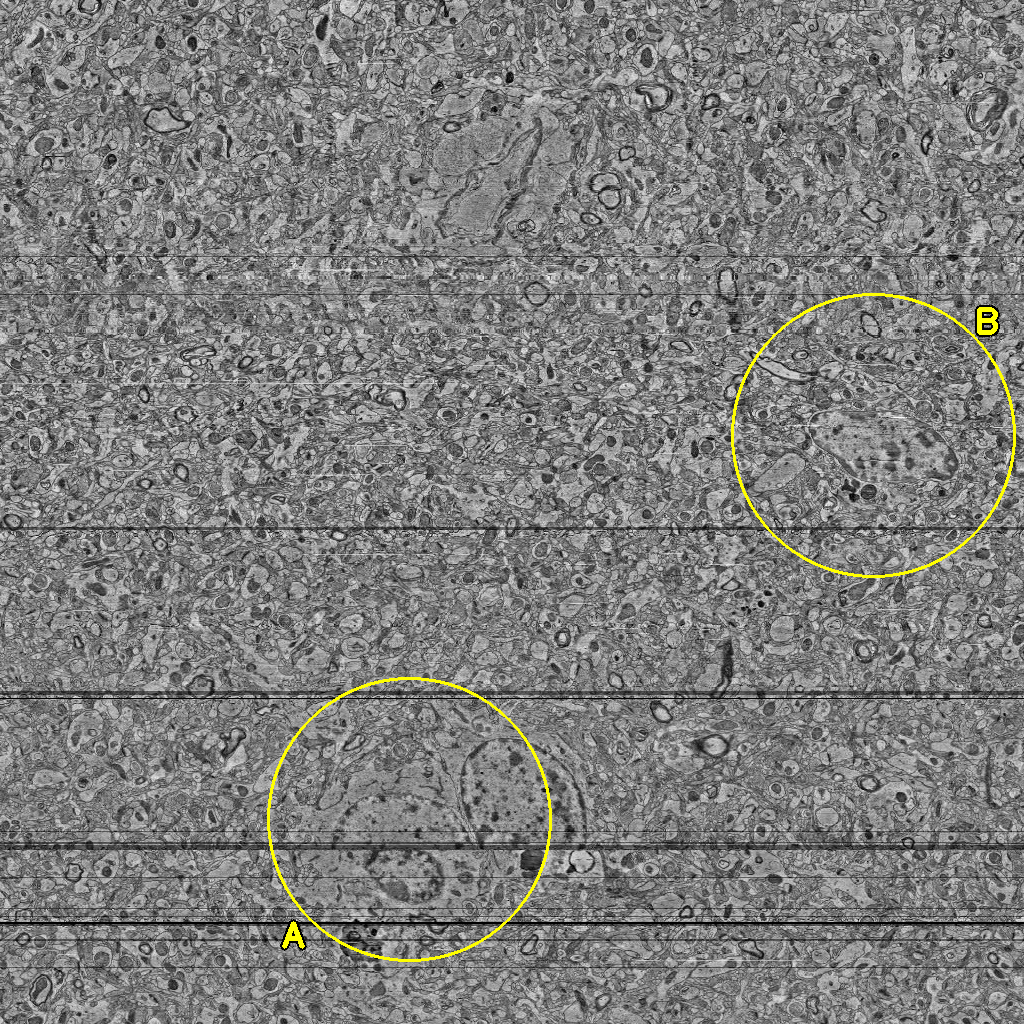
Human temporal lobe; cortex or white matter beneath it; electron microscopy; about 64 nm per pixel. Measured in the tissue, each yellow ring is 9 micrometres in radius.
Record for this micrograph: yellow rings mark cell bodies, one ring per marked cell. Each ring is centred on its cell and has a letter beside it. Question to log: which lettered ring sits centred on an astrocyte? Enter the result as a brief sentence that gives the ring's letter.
Ring A holds it at its centre.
